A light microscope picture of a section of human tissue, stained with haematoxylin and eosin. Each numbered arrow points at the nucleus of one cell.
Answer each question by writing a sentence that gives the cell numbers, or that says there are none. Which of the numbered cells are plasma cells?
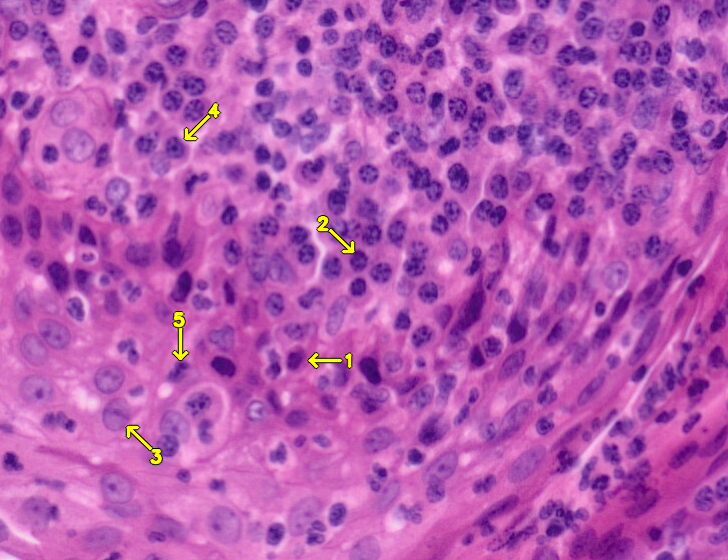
The cells picked out by numbers 2 and 4 are plasma cells.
